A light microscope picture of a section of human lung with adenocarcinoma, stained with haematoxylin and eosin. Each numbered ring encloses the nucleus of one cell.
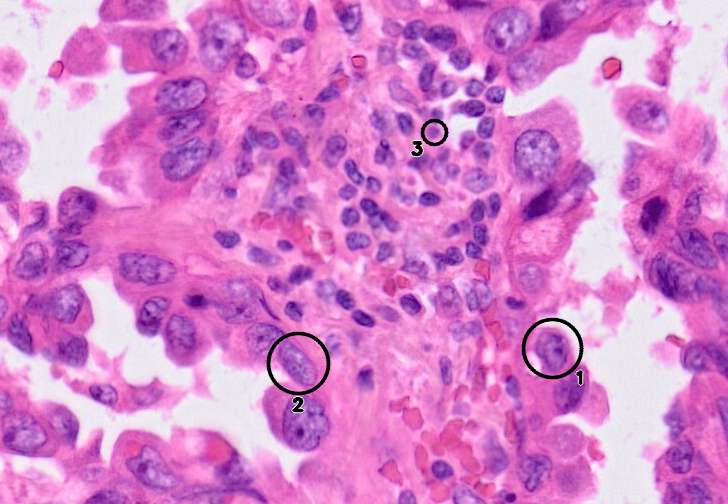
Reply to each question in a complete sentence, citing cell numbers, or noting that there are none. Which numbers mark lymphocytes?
The numbered cell that is a lymphocyte is cell 3, and it is the only one.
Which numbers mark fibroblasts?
As regards the numbered cells, fibroblasts are not represented.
